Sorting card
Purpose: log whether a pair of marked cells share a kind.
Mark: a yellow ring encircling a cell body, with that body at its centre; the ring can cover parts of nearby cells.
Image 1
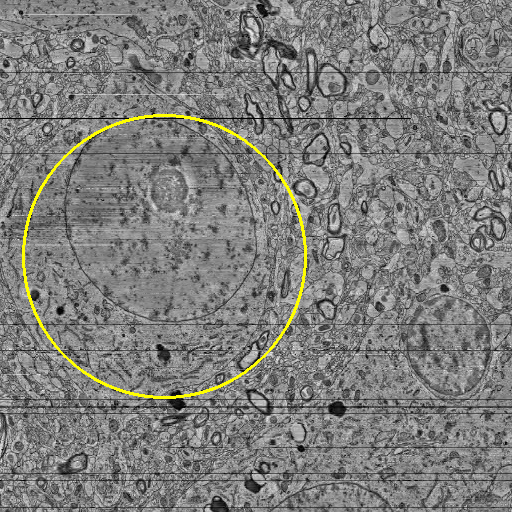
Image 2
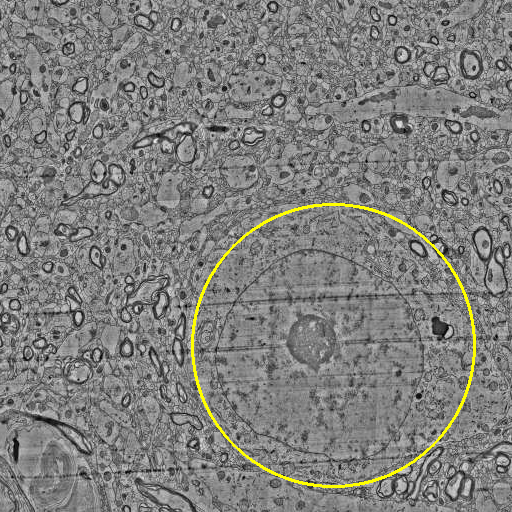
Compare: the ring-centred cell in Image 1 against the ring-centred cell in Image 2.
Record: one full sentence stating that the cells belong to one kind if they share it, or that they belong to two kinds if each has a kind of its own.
Across Images 1 and 2, the two ring-centred cells belong to one kind.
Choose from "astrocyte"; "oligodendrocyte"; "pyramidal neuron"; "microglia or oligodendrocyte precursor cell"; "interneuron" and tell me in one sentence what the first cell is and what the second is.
In the first picture and in the second, the ring is centred on a pyramidal neuron.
